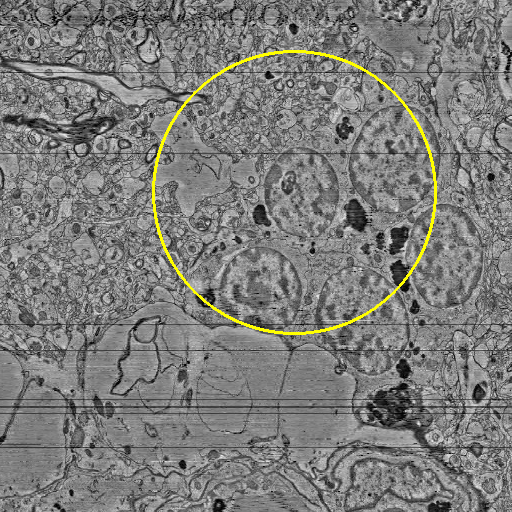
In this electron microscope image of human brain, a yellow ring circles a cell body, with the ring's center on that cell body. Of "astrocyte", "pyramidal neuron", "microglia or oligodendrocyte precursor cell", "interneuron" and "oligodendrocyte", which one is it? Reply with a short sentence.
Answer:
It is an oligodendrocyte at the center of the ring.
